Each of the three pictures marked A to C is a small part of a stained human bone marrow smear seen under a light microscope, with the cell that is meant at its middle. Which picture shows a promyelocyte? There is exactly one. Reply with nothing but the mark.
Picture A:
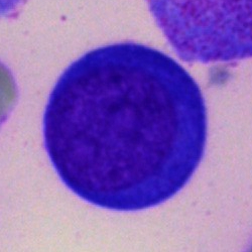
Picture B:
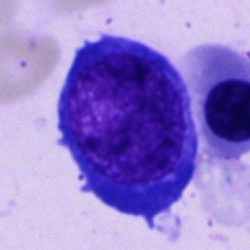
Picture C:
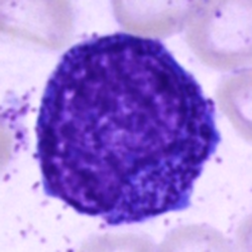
C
